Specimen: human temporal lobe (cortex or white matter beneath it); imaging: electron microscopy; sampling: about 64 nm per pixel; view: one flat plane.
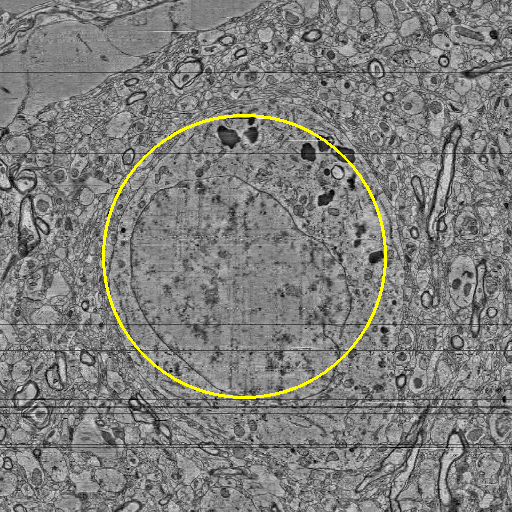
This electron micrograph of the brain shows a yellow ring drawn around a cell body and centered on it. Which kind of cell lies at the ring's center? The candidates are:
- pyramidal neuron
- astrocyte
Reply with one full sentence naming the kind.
The cell lying at the ring's center in this micrograph is a pyramidal neuron.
